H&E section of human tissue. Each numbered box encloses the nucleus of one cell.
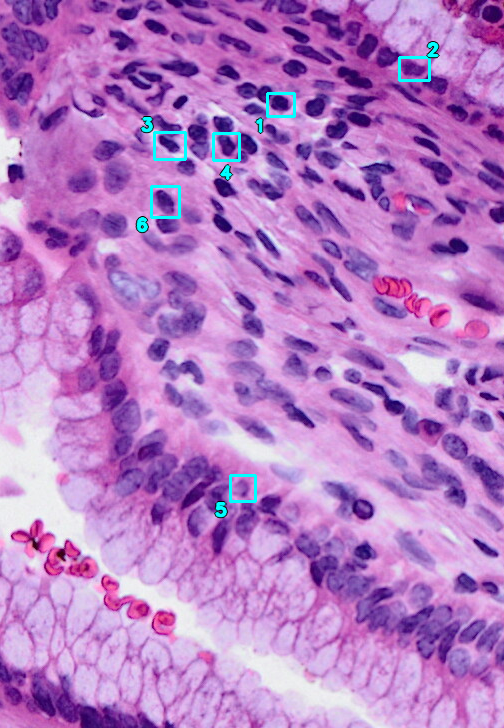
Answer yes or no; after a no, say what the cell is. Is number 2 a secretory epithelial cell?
Yes.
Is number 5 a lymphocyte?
No, it is a secretory epithelial cell.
